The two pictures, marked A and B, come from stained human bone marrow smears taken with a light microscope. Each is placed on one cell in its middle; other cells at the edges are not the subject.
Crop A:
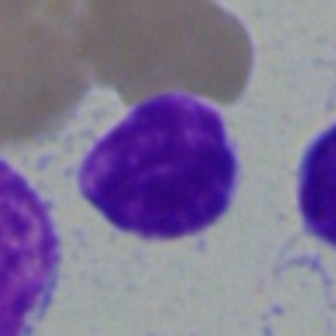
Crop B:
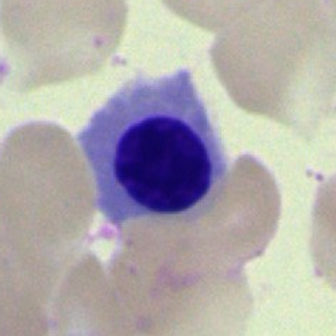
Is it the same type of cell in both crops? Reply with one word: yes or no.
no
